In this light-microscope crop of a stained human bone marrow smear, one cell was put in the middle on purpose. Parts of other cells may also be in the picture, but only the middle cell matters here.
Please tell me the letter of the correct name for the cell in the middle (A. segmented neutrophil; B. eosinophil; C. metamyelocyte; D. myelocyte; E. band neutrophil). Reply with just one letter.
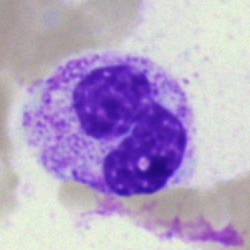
A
